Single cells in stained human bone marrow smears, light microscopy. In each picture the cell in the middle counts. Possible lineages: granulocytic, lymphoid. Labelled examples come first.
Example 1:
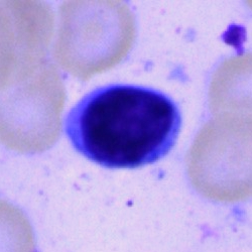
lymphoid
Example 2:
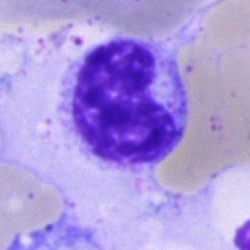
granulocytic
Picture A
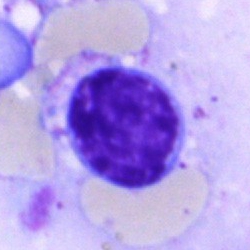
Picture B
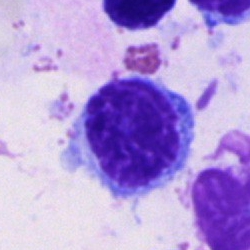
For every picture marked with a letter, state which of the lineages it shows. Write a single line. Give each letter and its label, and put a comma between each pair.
A lymphoid, B lymphoid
